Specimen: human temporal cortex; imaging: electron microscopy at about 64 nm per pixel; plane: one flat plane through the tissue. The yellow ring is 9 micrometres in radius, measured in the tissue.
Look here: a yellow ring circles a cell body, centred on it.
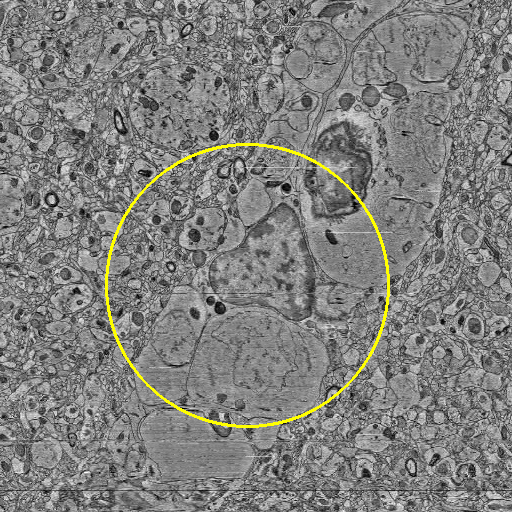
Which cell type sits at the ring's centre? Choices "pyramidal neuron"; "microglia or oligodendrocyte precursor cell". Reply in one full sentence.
The cell at the centre of the yellow ring in the picture is a microglial cell or oligodendrocyte precursor cell.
